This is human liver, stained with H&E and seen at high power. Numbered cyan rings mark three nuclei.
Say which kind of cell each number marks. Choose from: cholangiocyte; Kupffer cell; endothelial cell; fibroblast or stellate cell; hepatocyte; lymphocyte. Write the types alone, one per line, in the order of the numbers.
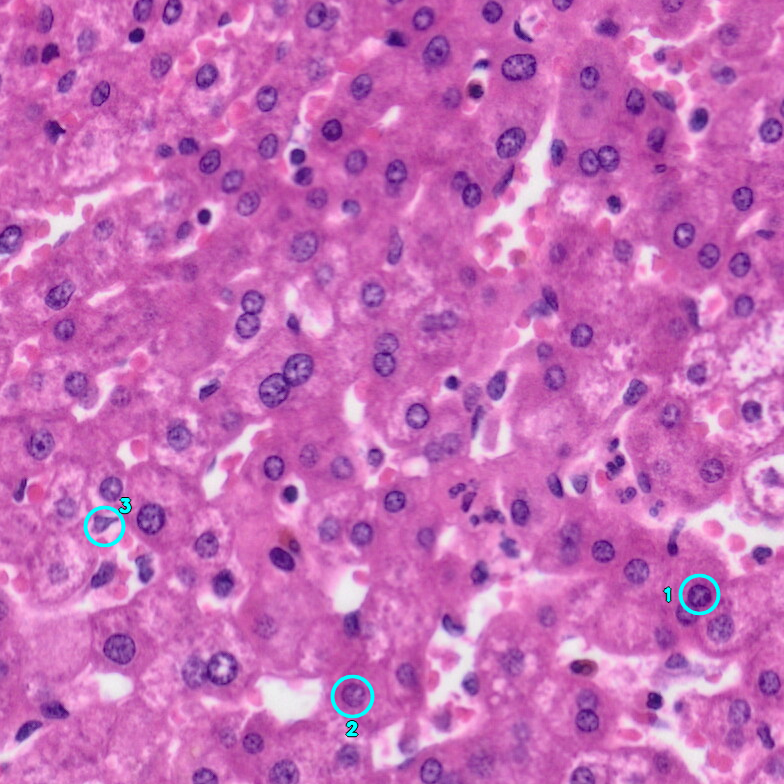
hepatocyte
hepatocyte
endothelial cell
